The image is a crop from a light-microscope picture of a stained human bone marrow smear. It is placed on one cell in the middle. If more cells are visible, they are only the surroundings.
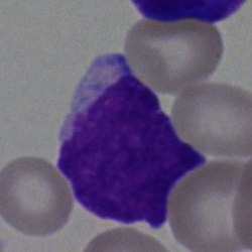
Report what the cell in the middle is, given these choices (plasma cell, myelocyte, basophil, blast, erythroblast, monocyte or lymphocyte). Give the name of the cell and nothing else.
blast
